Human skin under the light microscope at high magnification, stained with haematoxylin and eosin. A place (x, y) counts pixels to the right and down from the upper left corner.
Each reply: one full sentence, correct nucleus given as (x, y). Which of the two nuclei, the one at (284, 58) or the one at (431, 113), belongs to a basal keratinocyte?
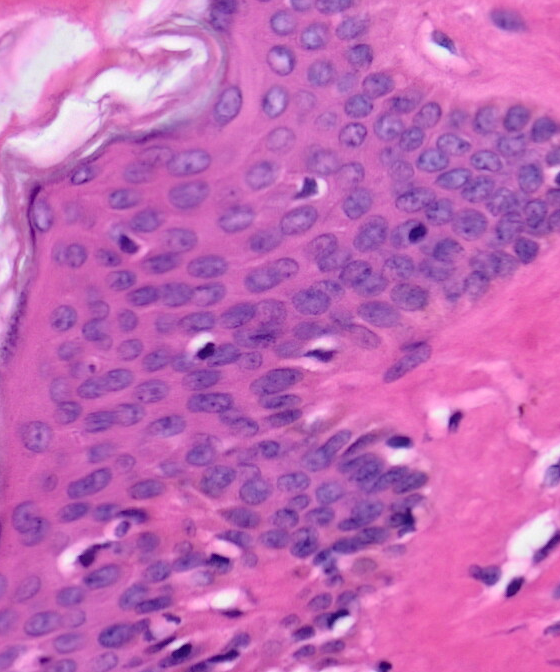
Rather than the other nucleus, the one at (431, 113) belongs to a basal keratinocyte.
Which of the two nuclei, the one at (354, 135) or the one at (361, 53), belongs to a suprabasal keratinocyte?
Of the two nuclei present, the one at (354, 135) is within a suprabasal keratinocyte.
